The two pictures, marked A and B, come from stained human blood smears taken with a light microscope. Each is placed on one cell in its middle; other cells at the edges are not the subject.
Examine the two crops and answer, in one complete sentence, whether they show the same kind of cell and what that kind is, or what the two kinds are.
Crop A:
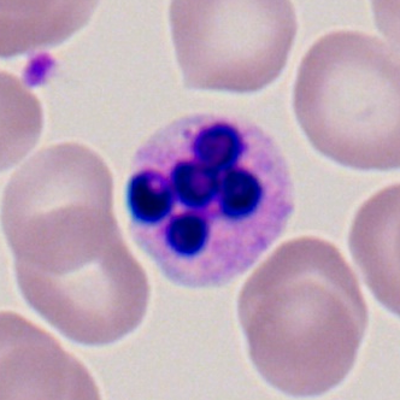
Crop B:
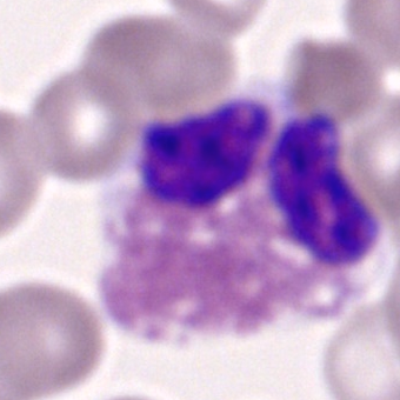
No, a segmented neutrophil is the subject of crop A, and an eosinophil is the subject of crop B.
